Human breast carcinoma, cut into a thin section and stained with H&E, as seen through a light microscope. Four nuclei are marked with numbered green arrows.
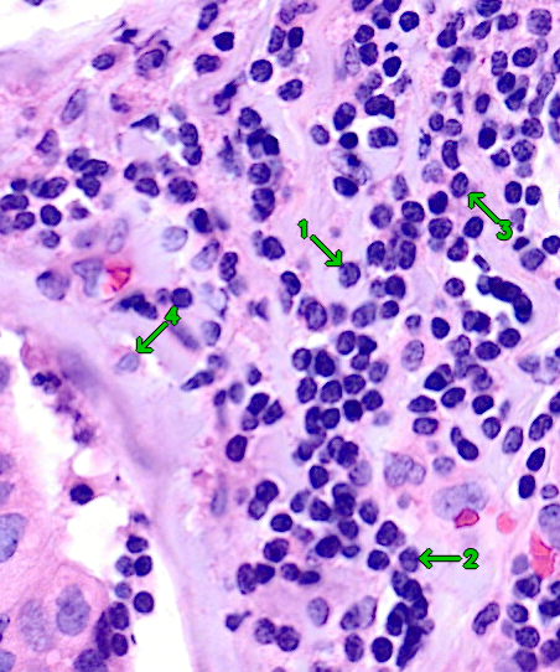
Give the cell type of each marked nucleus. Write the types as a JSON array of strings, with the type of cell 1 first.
["lymphocyte", "lymphocyte", "lymphocyte", "mast cell"]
